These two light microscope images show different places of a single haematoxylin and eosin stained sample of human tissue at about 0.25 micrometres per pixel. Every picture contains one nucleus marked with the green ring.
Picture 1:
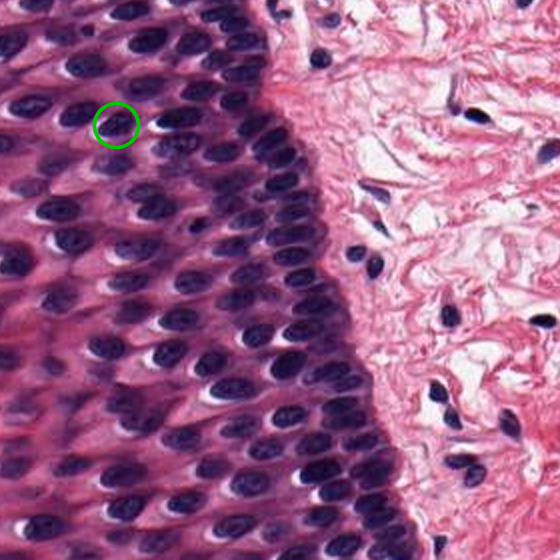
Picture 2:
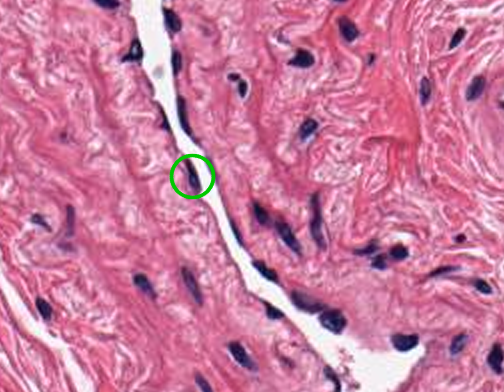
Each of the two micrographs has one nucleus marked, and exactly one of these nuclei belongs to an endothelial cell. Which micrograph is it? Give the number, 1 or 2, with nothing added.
2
